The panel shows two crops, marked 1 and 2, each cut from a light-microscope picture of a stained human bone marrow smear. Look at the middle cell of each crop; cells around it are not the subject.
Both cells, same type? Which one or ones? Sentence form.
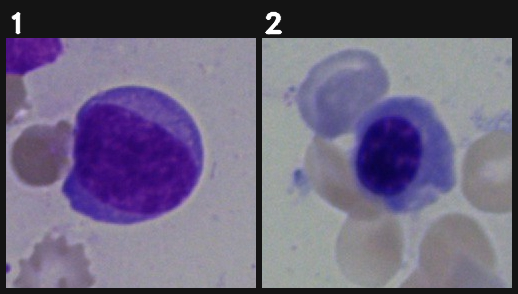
No, crop 1 displays a blast and crop 2 displays an erythroblast.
